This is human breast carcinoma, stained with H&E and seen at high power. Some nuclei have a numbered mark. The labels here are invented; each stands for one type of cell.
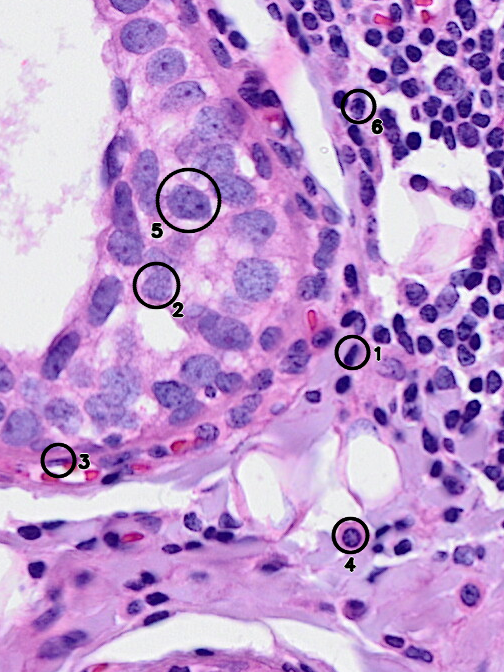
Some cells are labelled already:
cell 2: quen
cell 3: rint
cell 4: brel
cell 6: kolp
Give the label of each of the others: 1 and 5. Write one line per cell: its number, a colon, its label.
1: kolp
5: quen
